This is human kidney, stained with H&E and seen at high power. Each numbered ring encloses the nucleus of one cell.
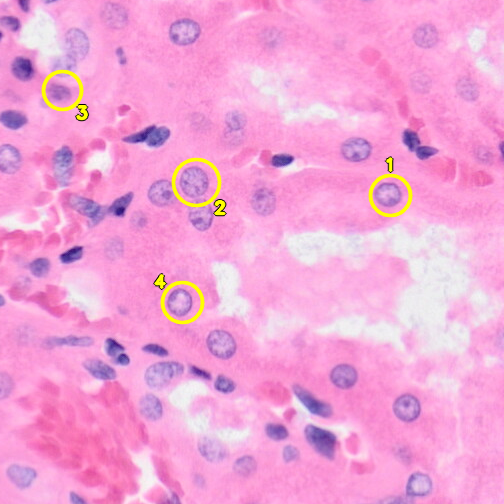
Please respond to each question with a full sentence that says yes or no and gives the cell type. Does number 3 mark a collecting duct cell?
Yes, correct, the cell with the number 3 is a collecting duct cell.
